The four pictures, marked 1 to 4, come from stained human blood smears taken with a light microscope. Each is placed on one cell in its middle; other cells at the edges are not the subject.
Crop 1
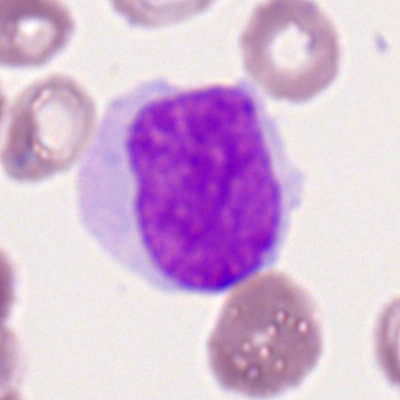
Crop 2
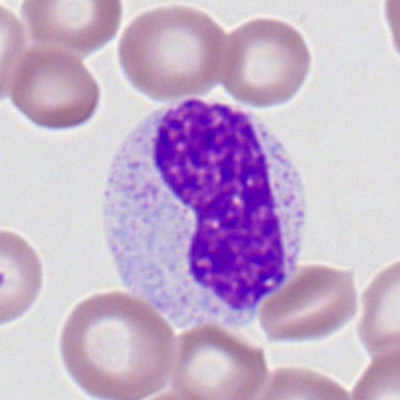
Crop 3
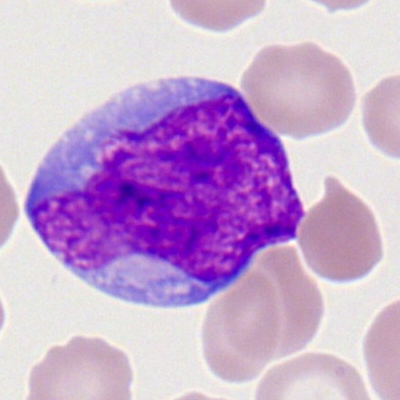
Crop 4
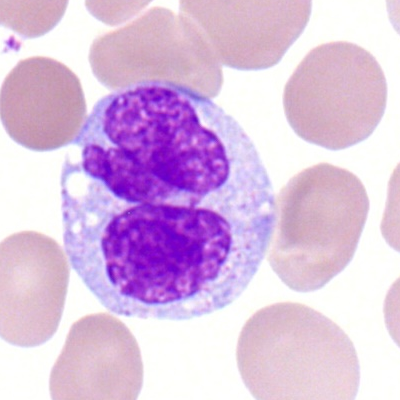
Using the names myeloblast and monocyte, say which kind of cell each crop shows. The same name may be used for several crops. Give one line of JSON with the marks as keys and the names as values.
{"1": "monocyte", "2": "monocyte", "3": "myeloblast", "4": "monocyte"}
